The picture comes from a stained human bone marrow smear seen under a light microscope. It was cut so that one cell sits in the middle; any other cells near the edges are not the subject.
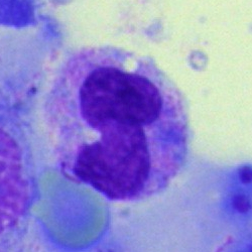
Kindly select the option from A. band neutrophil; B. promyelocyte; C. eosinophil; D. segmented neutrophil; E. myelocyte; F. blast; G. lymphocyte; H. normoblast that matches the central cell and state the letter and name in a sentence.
Option A, which names the central cell as a band neutrophil, is correct.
